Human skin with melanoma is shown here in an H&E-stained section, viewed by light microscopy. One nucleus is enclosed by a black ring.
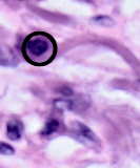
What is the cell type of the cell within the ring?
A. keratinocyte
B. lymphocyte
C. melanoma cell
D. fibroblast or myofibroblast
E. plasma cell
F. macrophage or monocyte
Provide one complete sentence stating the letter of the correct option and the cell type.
What option E states, that the cell within the ring is a plasma cell, is correct.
